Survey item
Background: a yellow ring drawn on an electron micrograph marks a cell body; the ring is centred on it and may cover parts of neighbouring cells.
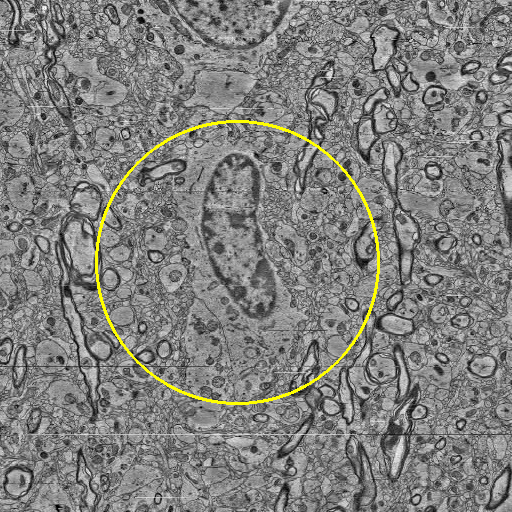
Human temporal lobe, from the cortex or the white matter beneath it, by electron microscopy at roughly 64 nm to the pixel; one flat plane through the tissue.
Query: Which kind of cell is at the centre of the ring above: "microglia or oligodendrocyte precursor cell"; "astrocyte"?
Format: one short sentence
The cell in the middle of the ring is a microglial cell or oligodendrocyte precursor cell.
